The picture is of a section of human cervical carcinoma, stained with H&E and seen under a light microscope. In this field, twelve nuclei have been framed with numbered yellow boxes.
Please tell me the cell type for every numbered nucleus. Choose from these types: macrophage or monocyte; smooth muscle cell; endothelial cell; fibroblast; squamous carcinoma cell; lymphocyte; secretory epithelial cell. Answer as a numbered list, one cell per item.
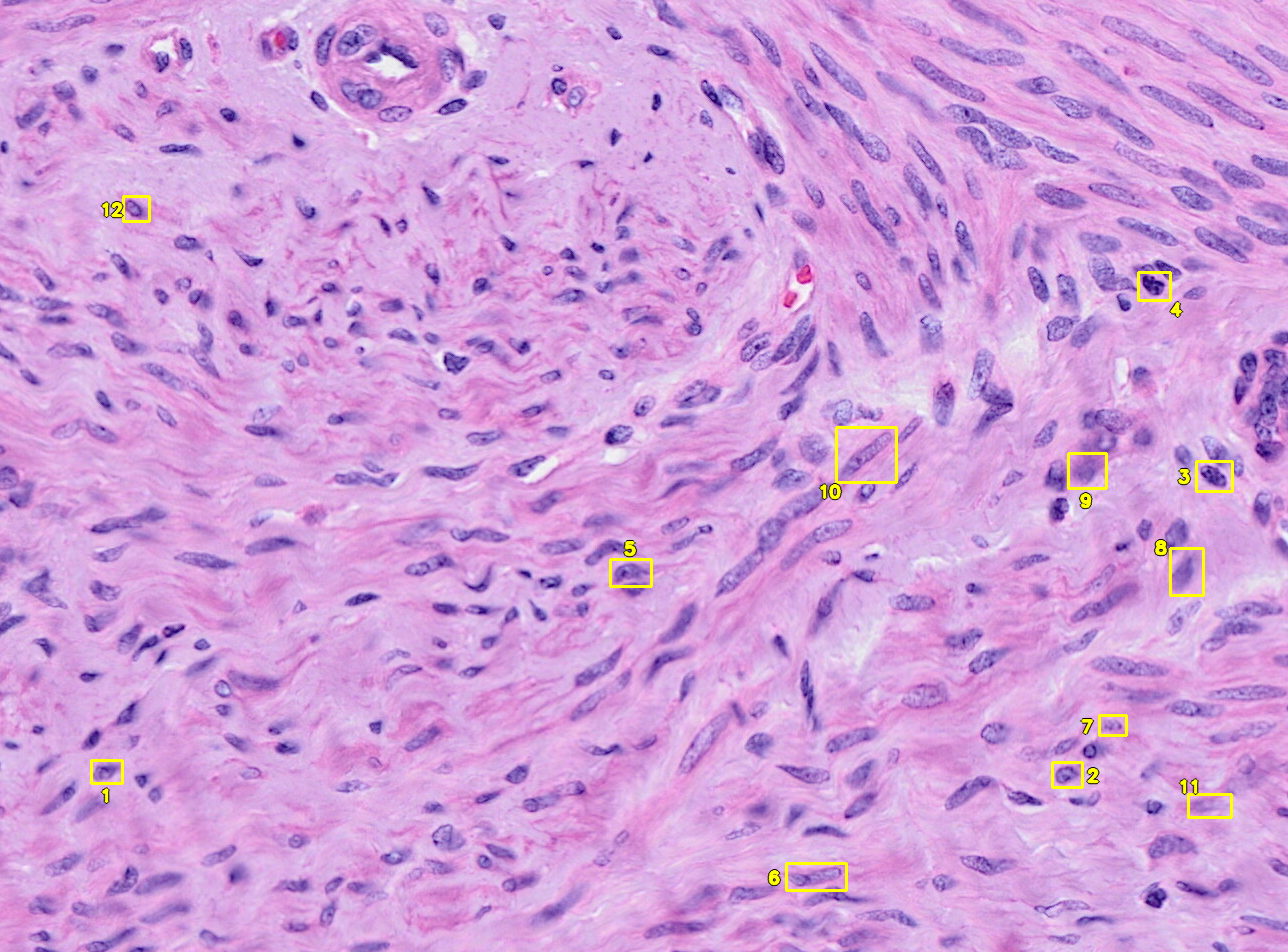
1. fibroblast
2. smooth muscle cell
3. lymphocyte
4. lymphocyte
5. smooth muscle cell
6. smooth muscle cell
7. smooth muscle cell
8. fibroblast
9. endothelial cell
10. smooth muscle cell
11. smooth muscle cell
12. smooth muscle cell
